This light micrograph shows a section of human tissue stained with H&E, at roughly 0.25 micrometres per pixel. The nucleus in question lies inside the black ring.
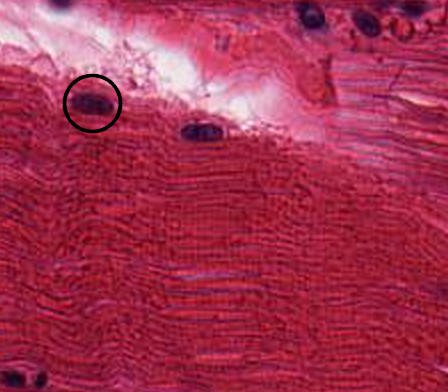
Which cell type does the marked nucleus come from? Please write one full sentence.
The marked nucleus sits within a skeletal muscle fibre.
